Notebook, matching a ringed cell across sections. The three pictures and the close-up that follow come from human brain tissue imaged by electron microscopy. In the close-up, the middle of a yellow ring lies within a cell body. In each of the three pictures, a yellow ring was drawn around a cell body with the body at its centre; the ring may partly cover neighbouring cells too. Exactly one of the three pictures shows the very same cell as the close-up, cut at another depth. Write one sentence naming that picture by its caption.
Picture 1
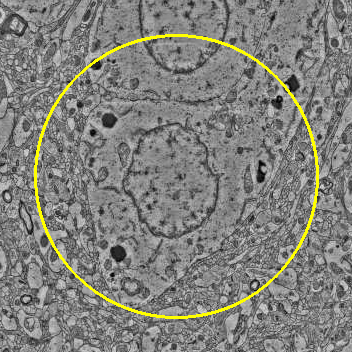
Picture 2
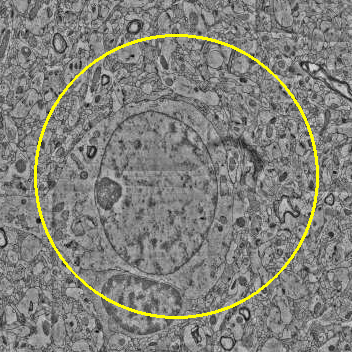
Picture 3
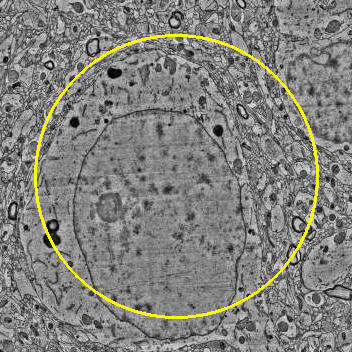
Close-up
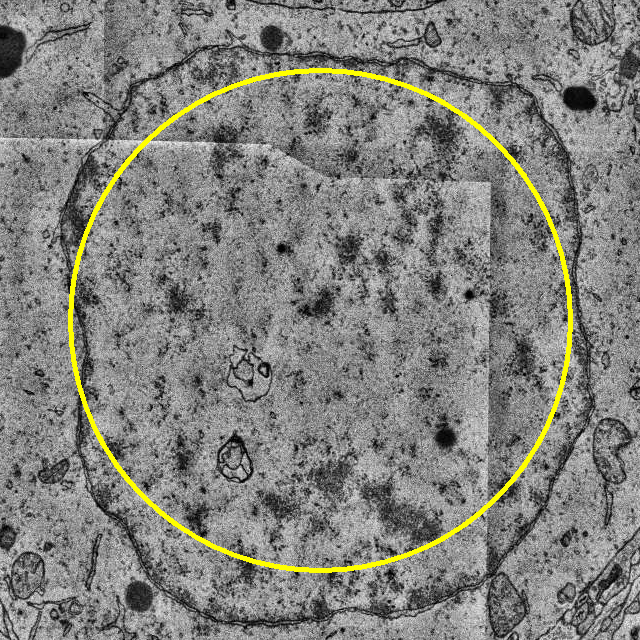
The close-up focuses on the cell marked by the ring in Picture 1.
